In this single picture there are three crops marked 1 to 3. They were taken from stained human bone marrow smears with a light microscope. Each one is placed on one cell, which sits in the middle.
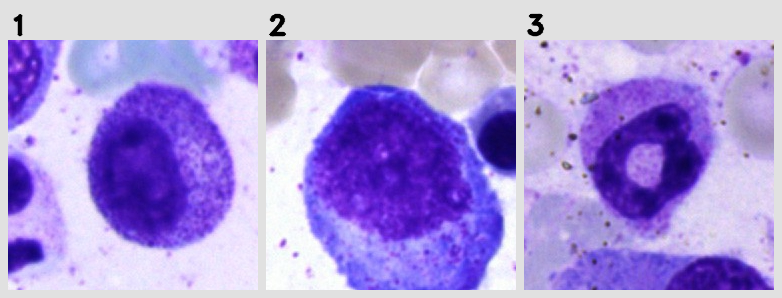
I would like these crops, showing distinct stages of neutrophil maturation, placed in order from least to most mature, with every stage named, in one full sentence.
Ranked from the least mature cell to the most mature, they are crop 2 (a promyelocyte), crop 1 (a myelocyte) and crop 3 (a band neutrophil).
